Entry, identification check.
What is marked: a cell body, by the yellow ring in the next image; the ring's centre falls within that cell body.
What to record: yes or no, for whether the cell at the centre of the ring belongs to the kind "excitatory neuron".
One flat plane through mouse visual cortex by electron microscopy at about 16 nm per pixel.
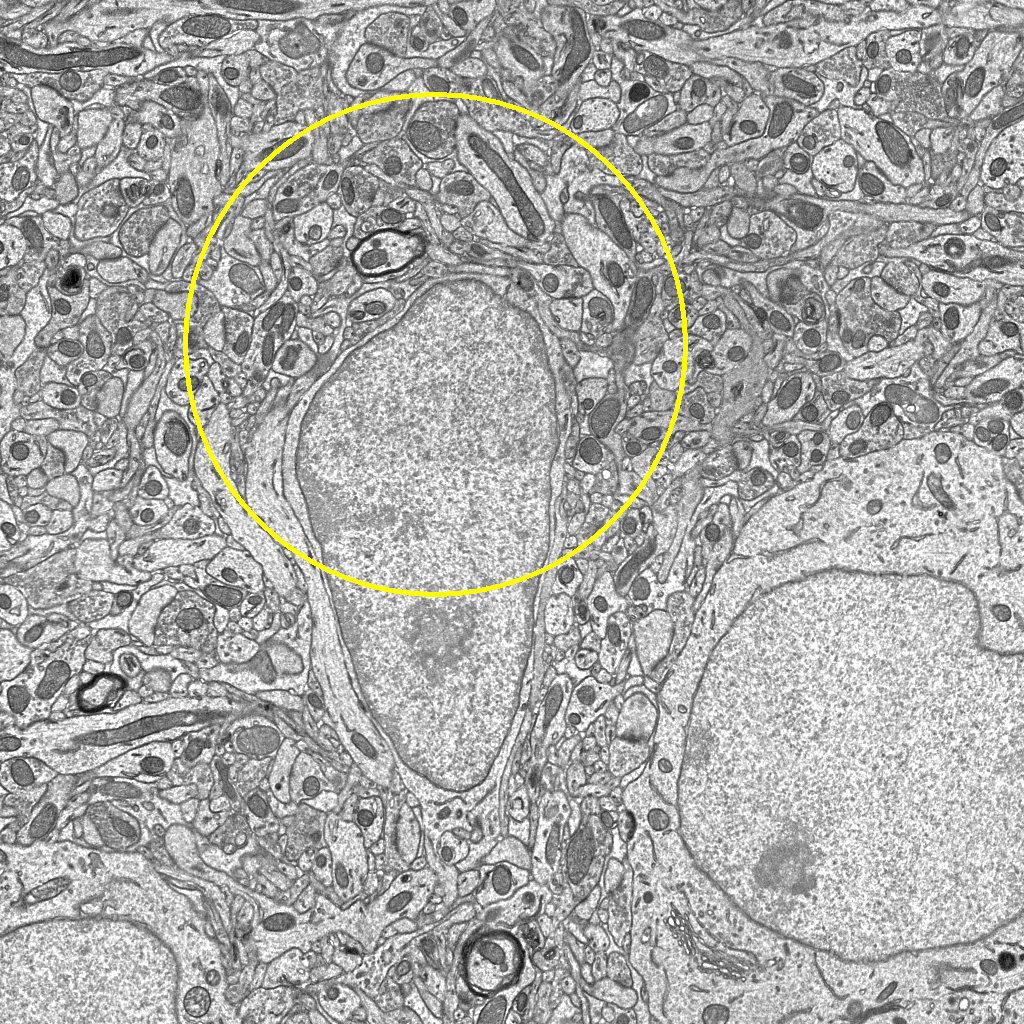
No, it belongs to another kind.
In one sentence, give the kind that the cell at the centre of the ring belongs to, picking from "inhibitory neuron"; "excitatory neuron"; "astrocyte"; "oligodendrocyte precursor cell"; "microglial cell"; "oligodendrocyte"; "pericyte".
The ring's central cell is an oligodendrocyte precursor cell instead.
